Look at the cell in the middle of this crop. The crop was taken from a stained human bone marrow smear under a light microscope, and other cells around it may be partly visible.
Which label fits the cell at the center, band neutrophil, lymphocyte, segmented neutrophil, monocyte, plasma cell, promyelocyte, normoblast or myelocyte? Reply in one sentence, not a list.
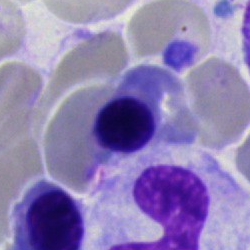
The center cell of this crop is a normoblast.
